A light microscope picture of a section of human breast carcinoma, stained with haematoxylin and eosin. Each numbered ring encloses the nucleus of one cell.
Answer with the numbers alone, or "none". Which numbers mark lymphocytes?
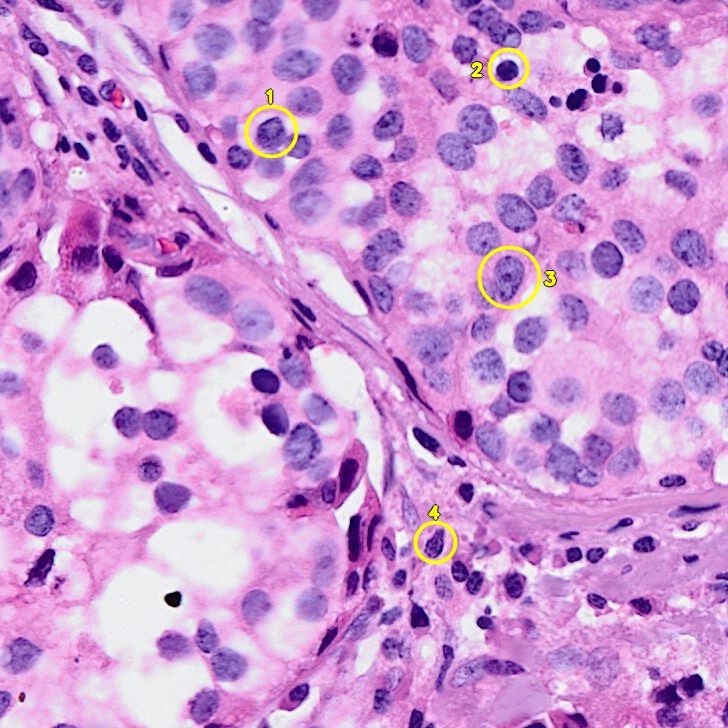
4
